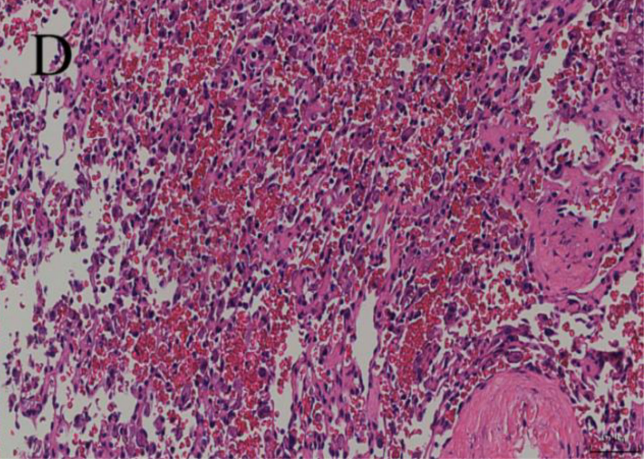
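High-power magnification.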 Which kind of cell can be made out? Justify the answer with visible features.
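Red blood cells fill many small vascular spaces. The answer: endothelial cells.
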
